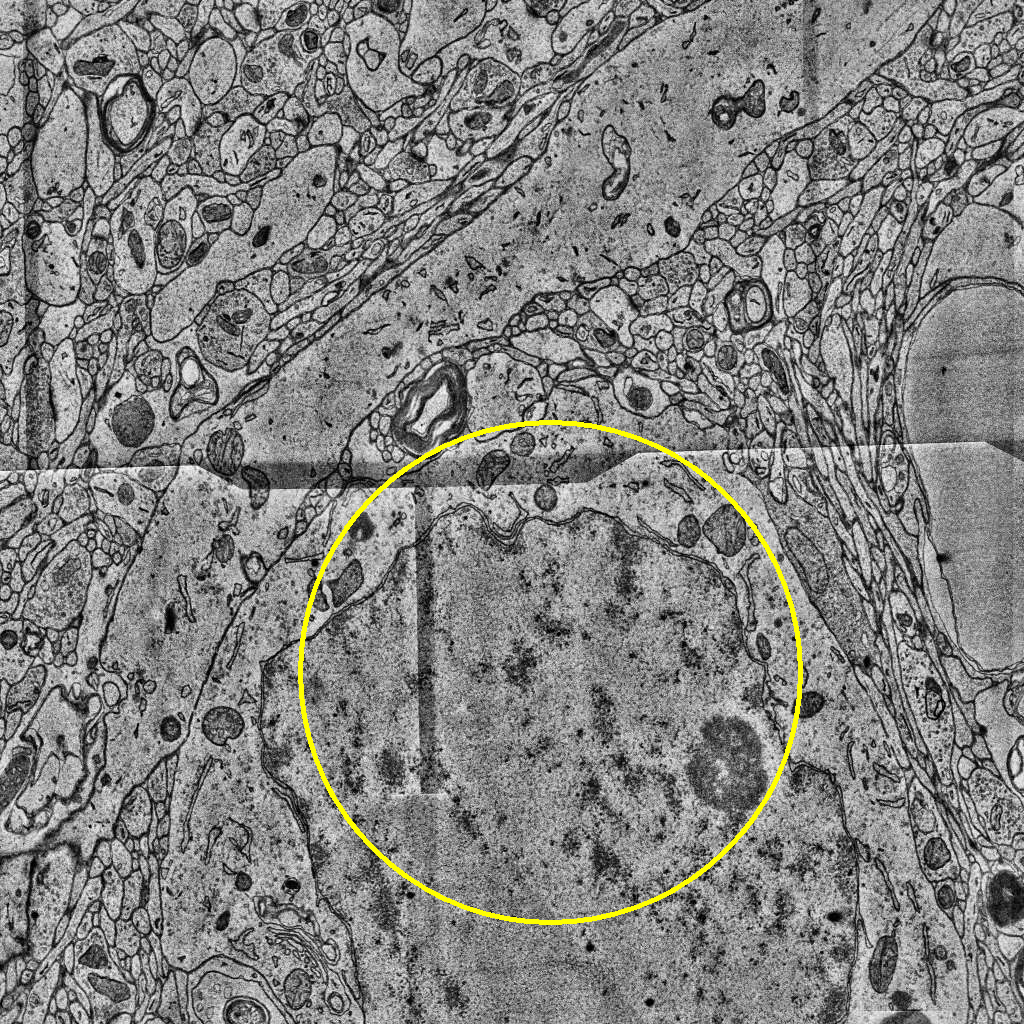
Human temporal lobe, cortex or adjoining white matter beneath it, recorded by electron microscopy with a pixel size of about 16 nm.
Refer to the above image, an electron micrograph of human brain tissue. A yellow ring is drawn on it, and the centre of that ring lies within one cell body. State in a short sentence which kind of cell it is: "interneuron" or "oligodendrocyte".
The centre of the ring falls on an interneuron.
